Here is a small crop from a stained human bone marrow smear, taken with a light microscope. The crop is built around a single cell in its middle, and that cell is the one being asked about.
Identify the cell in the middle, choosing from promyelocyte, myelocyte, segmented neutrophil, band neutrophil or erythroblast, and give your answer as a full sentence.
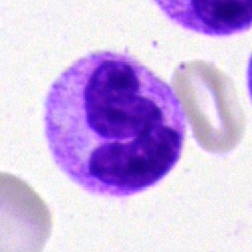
The crop shows a segmented neutrophil in its centre.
